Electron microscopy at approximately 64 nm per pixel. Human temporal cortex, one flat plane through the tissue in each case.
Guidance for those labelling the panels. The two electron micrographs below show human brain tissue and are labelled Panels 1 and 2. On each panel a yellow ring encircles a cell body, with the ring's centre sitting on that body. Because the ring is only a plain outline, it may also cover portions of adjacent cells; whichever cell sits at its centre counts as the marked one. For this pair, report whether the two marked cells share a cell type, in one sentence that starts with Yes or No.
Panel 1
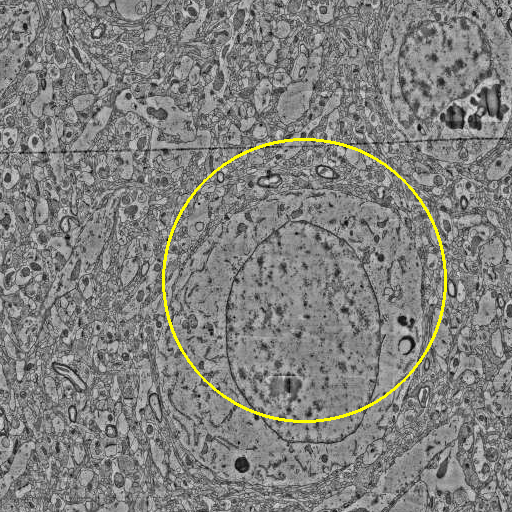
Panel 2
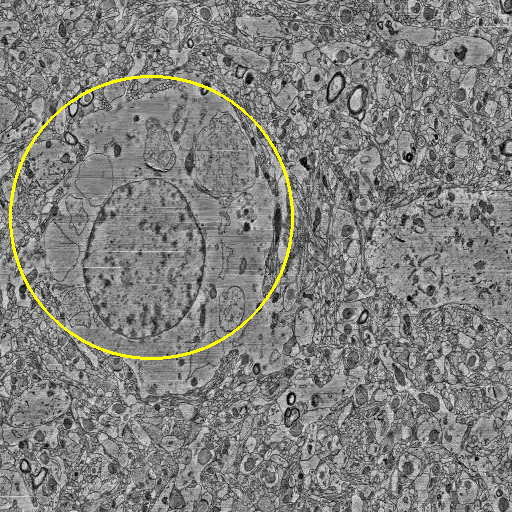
No, in Panel 1 and Panel 2 the marked cells at the ring centres are of two types.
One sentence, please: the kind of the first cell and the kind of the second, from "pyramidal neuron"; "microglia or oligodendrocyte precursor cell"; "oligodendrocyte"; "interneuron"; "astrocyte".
The ring in the first picture surrounds a pyramidal neuron, and the ring in the second surrounds an astrocyte.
